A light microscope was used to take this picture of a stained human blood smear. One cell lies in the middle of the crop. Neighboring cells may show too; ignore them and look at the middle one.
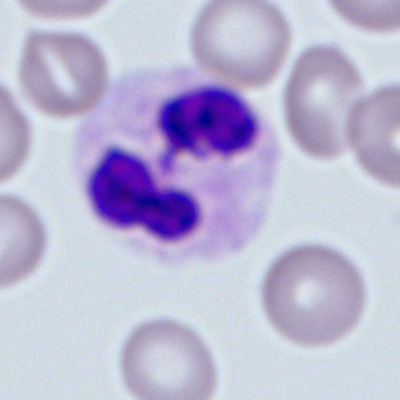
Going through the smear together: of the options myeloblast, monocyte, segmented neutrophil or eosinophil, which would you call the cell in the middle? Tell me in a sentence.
The cell occupying the middle of the crop is a segmented neutrophil.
